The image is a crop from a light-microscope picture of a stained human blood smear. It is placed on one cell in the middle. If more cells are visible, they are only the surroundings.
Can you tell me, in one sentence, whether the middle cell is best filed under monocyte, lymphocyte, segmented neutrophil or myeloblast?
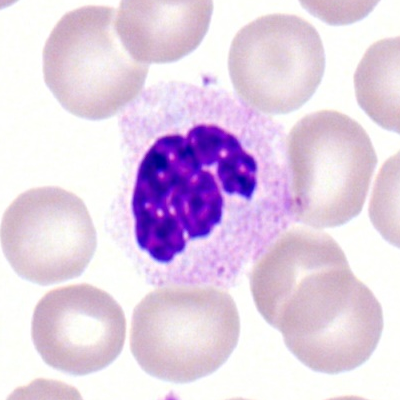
The cell centered in this field of view is a segmented neutrophil.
